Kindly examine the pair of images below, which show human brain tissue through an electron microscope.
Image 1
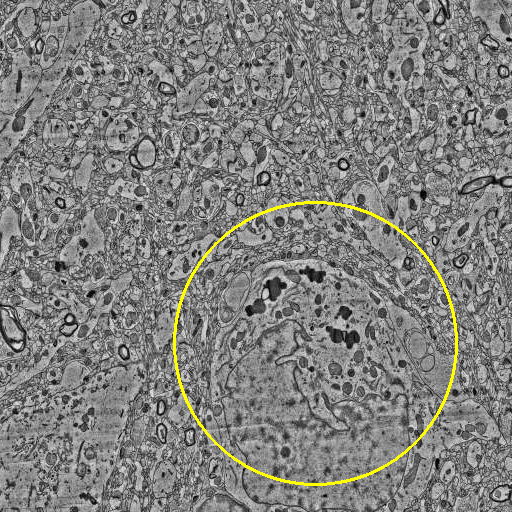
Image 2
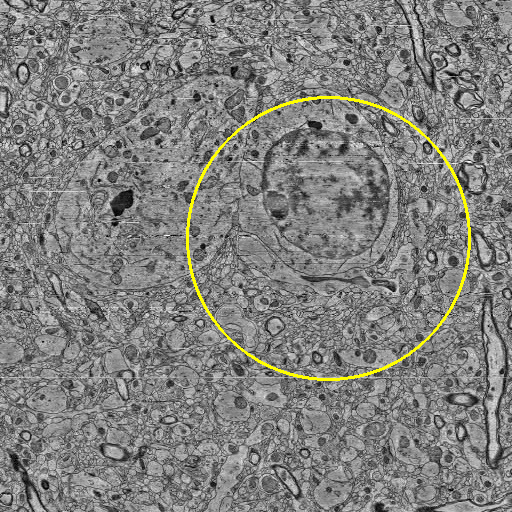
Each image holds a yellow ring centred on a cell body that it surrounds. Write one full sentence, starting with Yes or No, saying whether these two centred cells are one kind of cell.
Yes, both cells at the centres of the yellow rings belong to one kind of cell.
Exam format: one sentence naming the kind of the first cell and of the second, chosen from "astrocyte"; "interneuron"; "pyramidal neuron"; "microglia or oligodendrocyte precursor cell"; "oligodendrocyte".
Both rings mark an interneuron, one in each picture.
